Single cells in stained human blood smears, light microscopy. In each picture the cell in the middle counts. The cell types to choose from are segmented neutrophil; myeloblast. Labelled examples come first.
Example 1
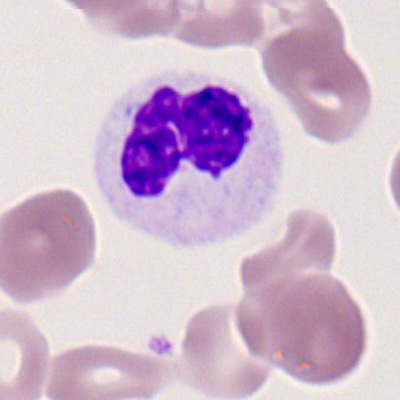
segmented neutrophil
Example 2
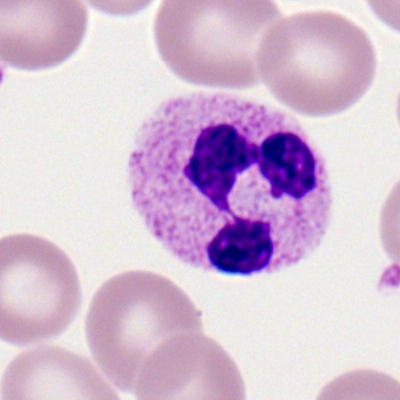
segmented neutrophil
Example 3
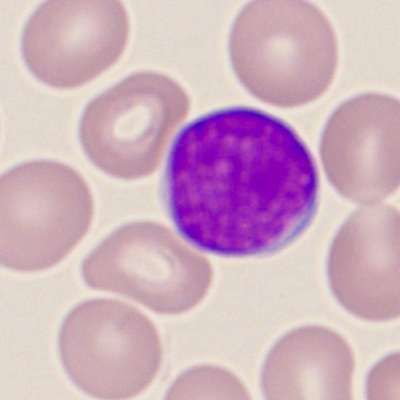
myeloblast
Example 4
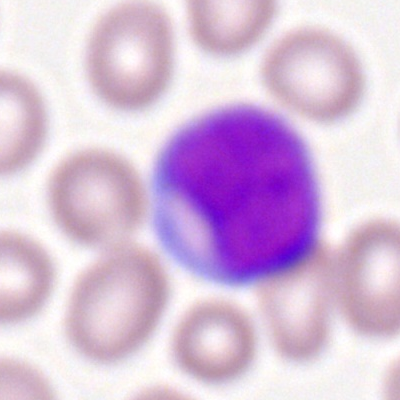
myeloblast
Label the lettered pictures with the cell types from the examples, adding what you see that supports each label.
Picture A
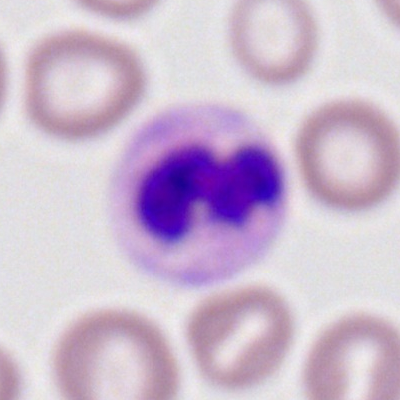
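Label: segmented neutrophil. The nucleus is divided into lobes joined by narrower parts.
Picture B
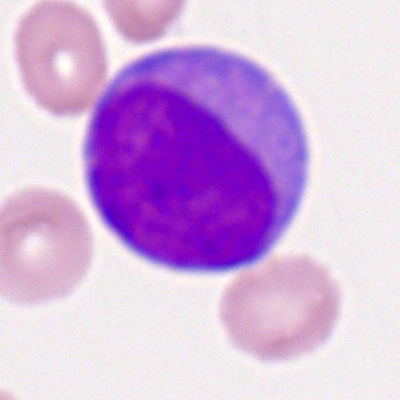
Label: myeloblast. The nucleus fills most of the cell.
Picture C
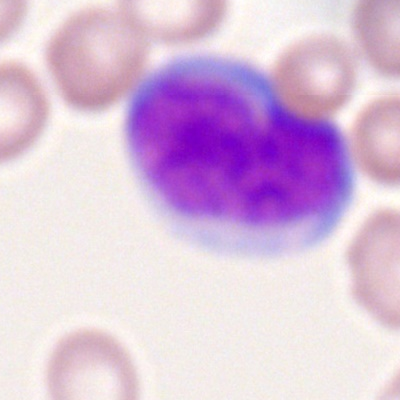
Label: myeloblast. The nucleus fills most of the cell.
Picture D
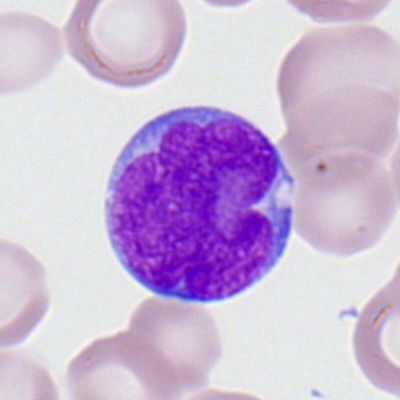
Label: myeloblast. The nucleus fills most of the cell.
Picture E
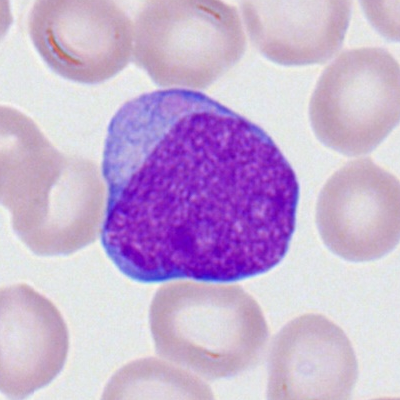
Label: myeloblast. The nucleus fills most of the cell.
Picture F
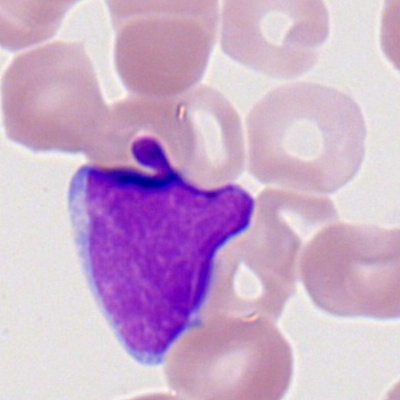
Label: myeloblast. The nucleus fills almost the whole cell.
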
